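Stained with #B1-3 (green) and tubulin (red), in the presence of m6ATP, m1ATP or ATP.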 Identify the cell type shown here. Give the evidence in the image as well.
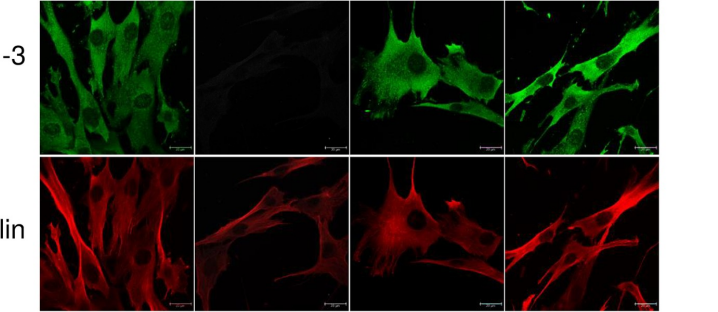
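Fibroblasts. Flat, elongated spindle-shaped or stellate cells with long tapering processes. Single oval nucleus in each cell, left dark by the cytoplasmic stains. Cells spread singly on the surface, not in a tight epithelial sheet.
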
